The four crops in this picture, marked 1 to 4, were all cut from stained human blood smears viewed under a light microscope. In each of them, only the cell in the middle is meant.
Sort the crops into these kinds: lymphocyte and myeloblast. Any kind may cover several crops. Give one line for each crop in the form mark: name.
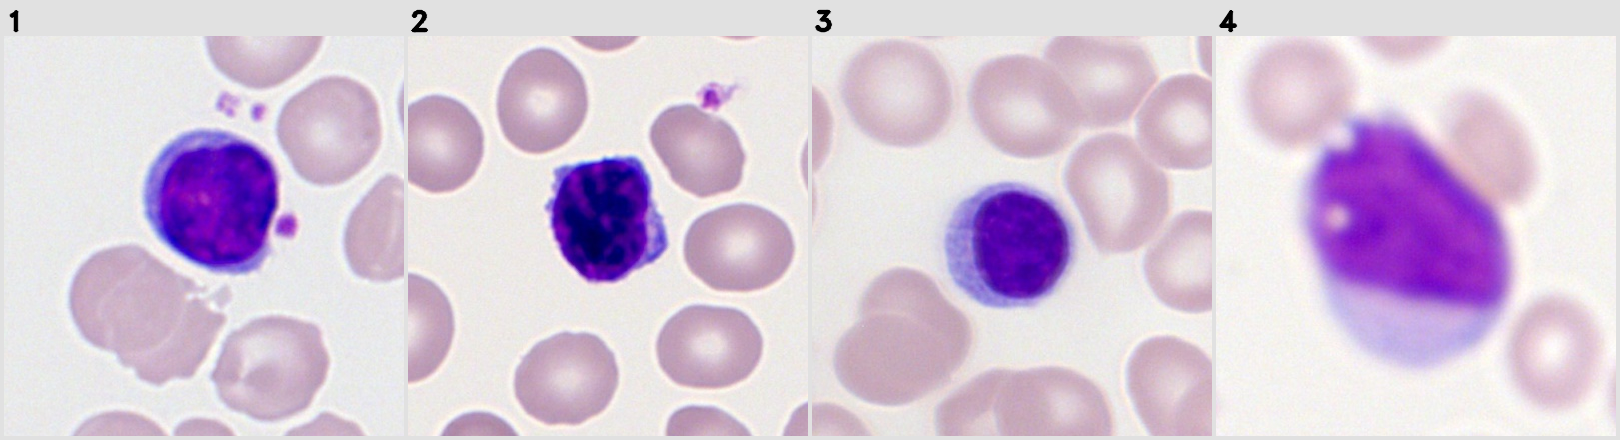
1: lymphocyte
2: lymphocyte
3: lymphocyte
4: myeloblast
